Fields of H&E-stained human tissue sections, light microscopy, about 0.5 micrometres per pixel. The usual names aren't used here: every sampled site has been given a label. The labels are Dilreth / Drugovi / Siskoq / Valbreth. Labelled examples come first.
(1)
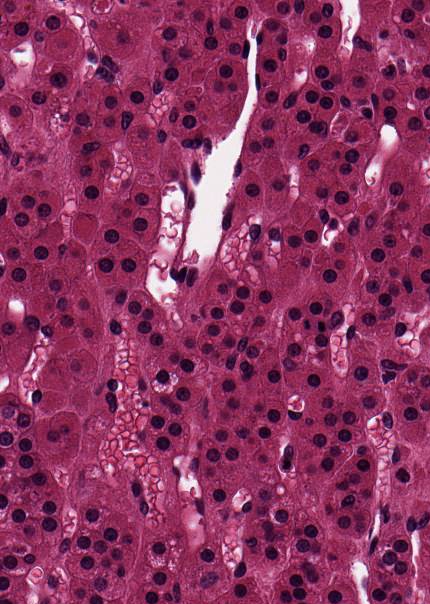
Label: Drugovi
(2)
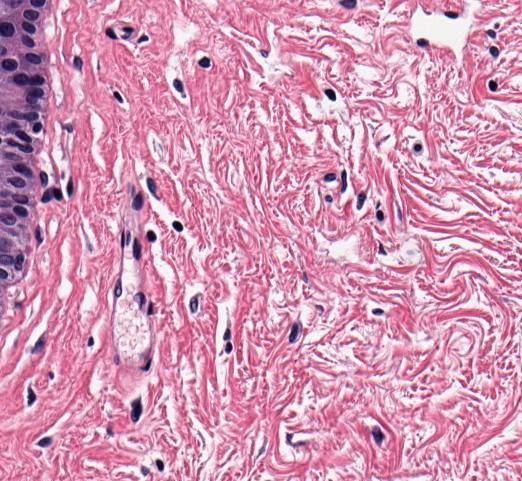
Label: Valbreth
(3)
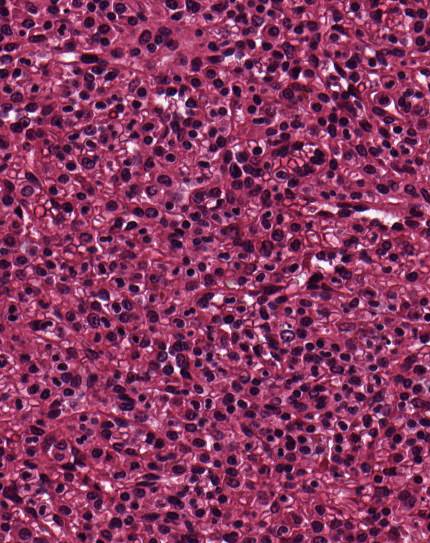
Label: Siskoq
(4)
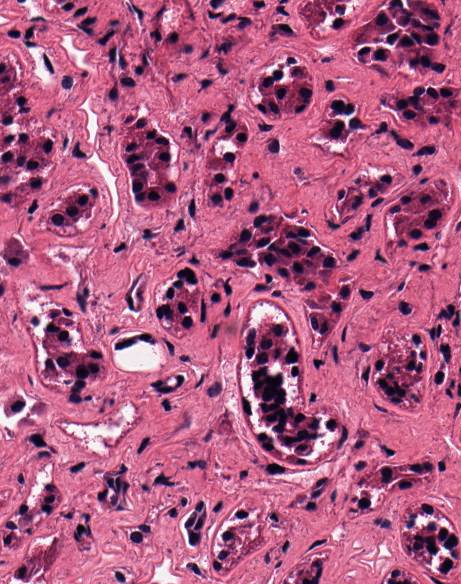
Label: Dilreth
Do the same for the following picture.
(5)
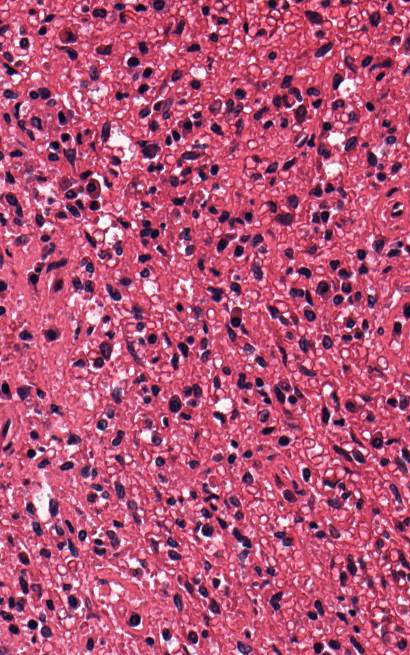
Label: Siskoq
